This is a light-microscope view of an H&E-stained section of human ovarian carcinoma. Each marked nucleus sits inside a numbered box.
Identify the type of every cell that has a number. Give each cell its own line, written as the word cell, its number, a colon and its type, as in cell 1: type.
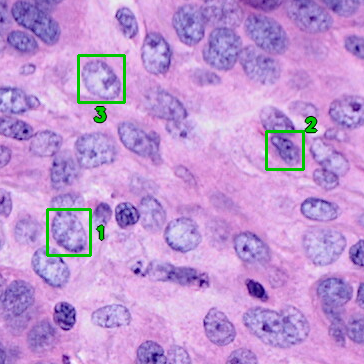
cell 1: fibroblast
cell 2: endothelial cell
cell 3: fibroblast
